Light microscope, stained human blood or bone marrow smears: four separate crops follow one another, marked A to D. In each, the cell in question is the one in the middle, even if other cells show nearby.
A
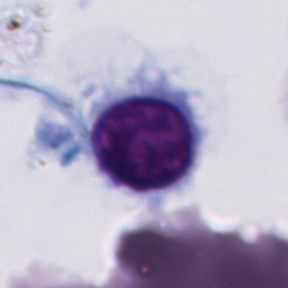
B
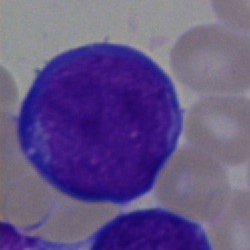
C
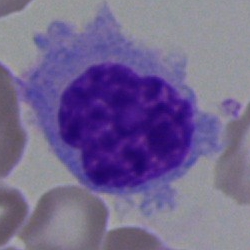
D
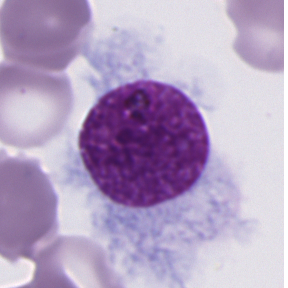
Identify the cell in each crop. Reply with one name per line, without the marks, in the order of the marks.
hairy cell
blast
hairy cell
hairy cell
